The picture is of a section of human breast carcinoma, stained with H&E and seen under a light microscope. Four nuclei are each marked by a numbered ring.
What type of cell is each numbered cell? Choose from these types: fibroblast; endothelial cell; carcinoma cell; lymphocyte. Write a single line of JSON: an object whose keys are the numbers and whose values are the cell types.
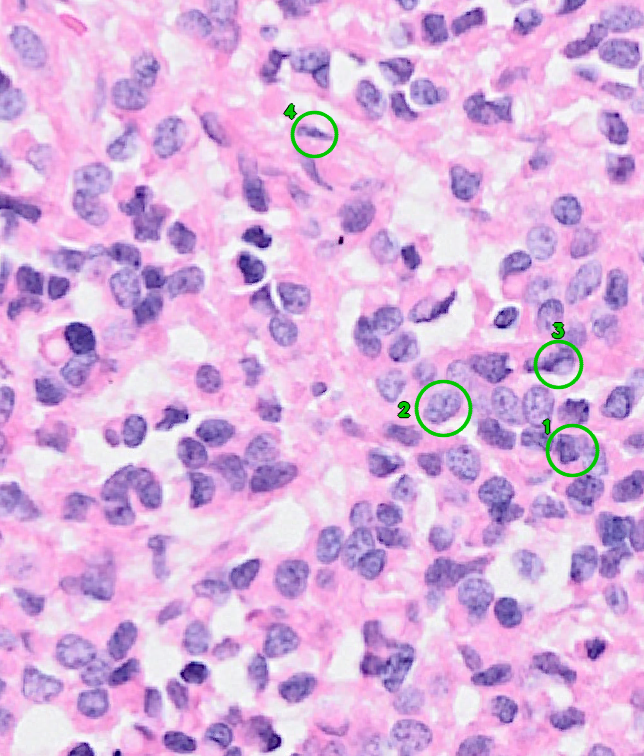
{"1": "carcinoma cell", "2": "carcinoma cell", "3": "carcinoma cell", "4": "fibroblast"}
